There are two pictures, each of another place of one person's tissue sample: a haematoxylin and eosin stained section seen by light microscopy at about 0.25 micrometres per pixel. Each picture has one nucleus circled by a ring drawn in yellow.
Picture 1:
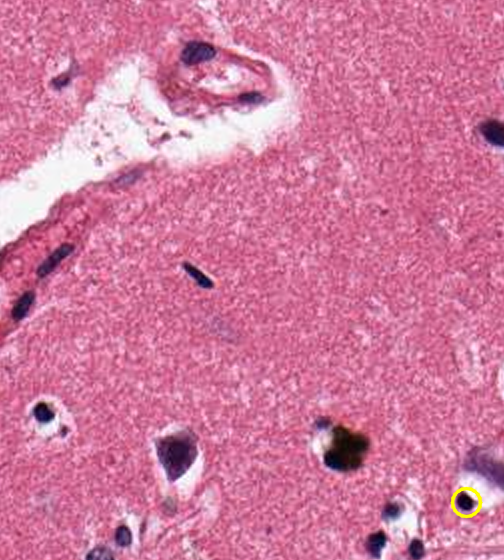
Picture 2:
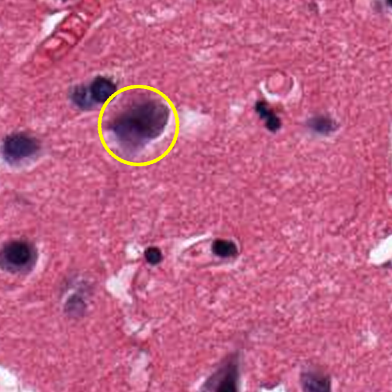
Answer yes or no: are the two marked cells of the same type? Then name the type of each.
No, the first is an oligodendrocyte and the second a neuron.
